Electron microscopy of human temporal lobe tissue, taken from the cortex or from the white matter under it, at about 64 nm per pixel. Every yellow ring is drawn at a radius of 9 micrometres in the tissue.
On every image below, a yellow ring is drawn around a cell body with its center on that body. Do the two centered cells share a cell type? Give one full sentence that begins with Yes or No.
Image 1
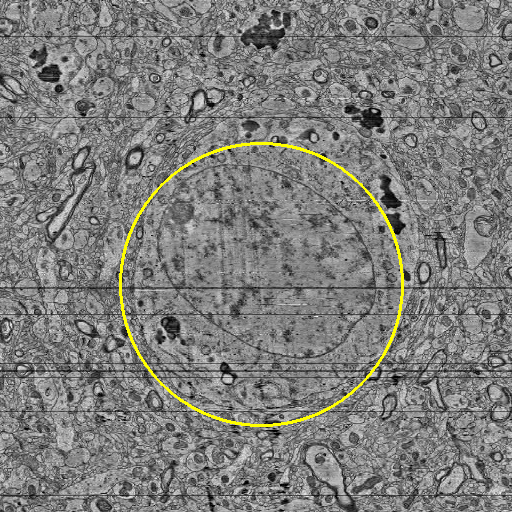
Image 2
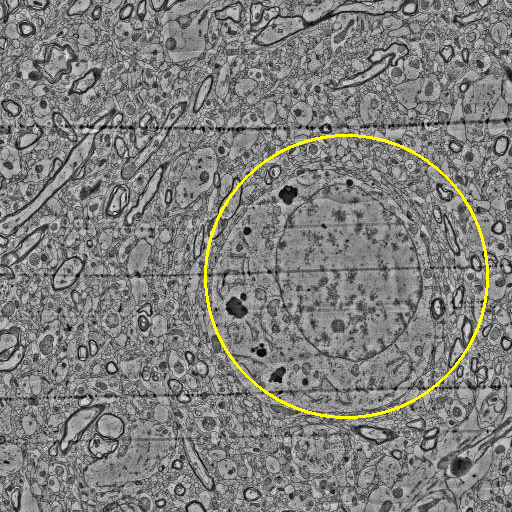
Yes, the centered cells in the two images are of a single cell type.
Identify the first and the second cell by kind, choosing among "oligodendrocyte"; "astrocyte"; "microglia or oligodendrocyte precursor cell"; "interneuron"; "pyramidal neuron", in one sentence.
Each cell, in the first picture and the second, is a pyramidal neuron.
